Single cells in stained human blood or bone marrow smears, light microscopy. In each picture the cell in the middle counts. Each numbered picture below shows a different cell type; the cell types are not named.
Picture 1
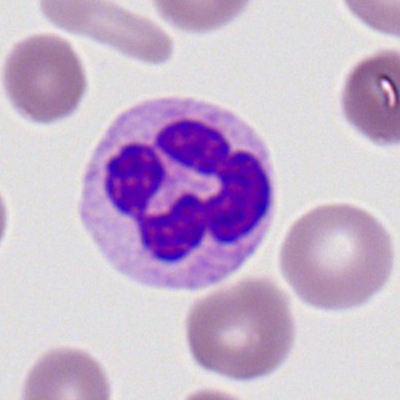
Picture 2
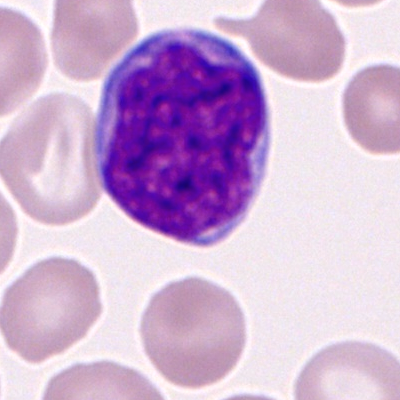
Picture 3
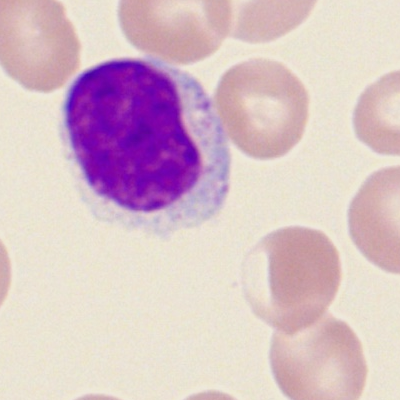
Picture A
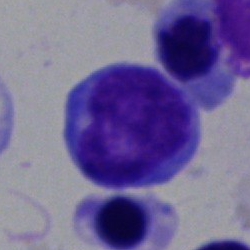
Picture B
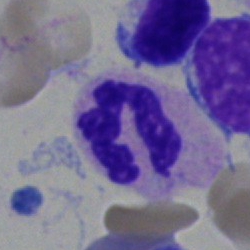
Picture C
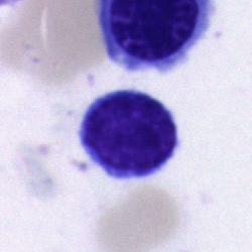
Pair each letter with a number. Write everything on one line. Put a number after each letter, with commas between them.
A 2, B 1, C 3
